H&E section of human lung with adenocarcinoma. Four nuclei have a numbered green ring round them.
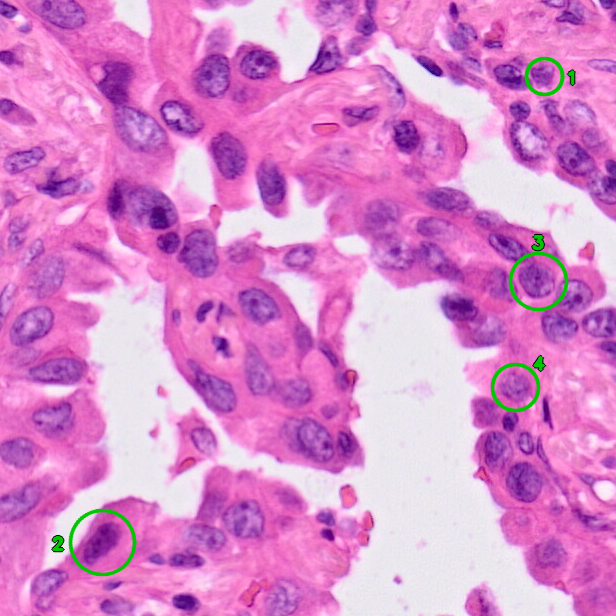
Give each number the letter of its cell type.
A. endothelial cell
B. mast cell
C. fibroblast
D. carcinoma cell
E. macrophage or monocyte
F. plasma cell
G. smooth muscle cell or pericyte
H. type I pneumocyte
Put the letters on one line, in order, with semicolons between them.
F; D; D; D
